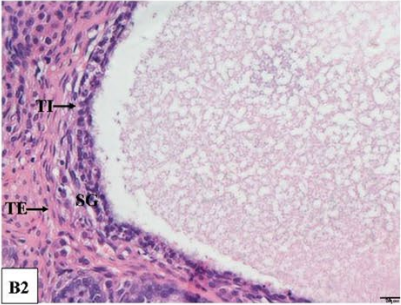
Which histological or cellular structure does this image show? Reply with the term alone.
cystic dilated follicle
